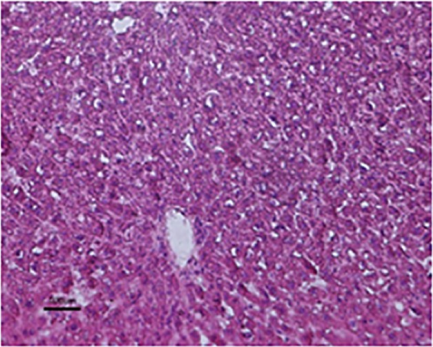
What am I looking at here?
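This is liver tissue made of closely packed hepatocytes with an even, compact appearance. The hepatocytes are polygonal with pink cytoplasm and round purple nuclei. A small vessel lies near the lower middle of the field, and the cells are arranged in cords around it with narrow spaces between them.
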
